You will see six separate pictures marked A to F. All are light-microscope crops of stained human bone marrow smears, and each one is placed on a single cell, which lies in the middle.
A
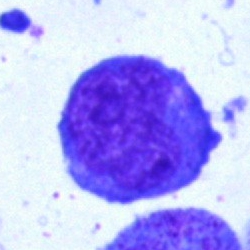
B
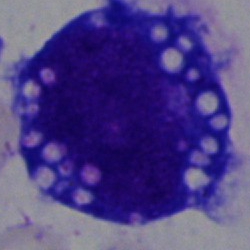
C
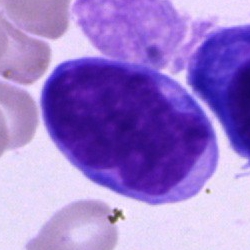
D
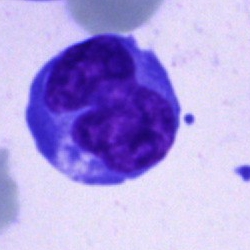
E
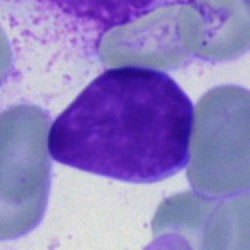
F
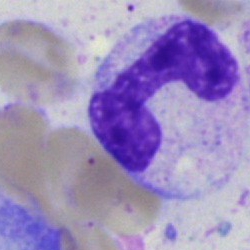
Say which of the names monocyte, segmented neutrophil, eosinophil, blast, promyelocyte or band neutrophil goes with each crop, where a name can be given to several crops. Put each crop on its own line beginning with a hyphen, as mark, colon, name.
- A: blast
- B: blast
- C: blast
- D: blast
- E: blast
- F: band neutrophil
